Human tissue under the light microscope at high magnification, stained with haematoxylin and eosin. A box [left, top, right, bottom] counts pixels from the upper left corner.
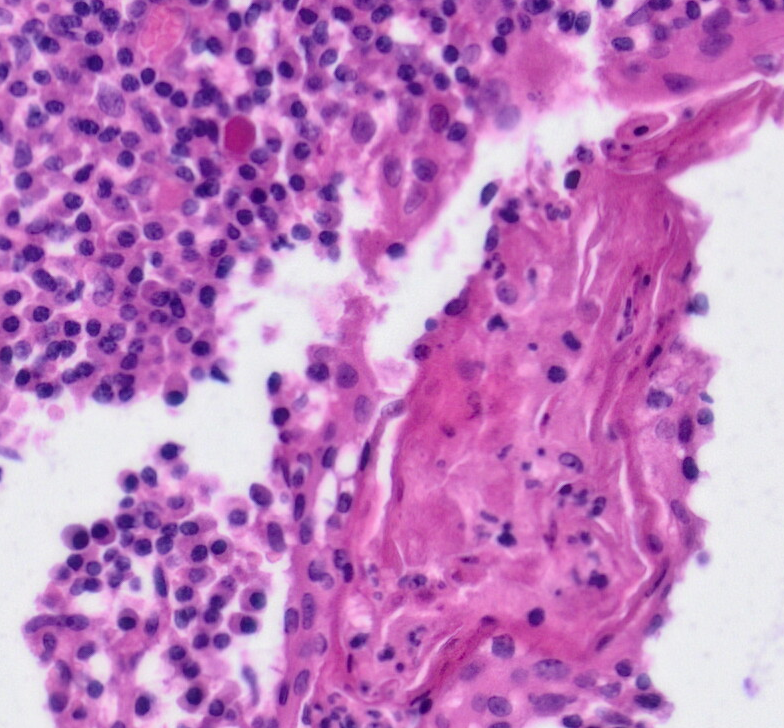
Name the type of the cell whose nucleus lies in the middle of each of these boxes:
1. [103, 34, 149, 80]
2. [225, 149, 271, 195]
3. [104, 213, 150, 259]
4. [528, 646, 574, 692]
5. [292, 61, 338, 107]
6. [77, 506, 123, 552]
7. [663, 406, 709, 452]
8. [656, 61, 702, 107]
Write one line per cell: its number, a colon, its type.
1: plasma cell
2: plasma cell
3: plasma cell
4: squamous epithelial cell
5: plasma cell
6: plasma cell
7: squamous epithelial cell
8: squamous epithelial cell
